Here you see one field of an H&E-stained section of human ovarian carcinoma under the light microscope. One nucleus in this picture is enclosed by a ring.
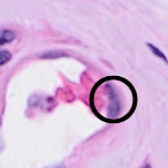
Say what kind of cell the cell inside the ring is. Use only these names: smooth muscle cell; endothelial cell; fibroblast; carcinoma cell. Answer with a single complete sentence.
By cell type, the cell inside the ring is an endothelial cell.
